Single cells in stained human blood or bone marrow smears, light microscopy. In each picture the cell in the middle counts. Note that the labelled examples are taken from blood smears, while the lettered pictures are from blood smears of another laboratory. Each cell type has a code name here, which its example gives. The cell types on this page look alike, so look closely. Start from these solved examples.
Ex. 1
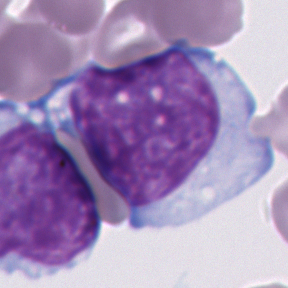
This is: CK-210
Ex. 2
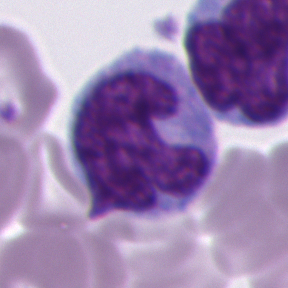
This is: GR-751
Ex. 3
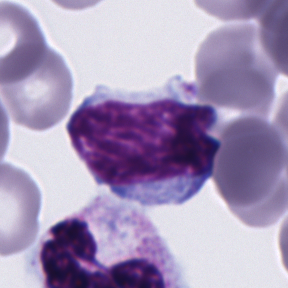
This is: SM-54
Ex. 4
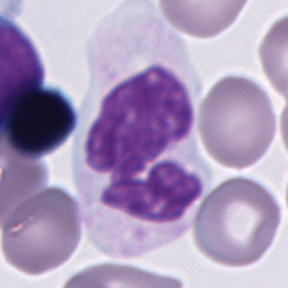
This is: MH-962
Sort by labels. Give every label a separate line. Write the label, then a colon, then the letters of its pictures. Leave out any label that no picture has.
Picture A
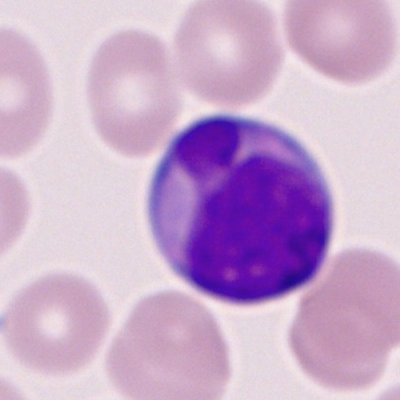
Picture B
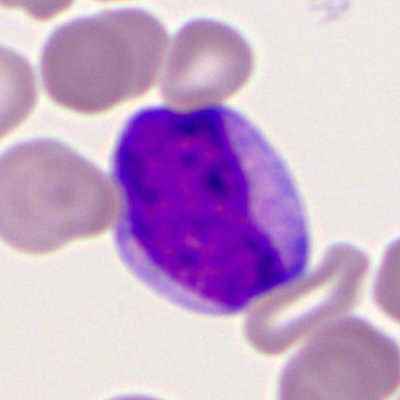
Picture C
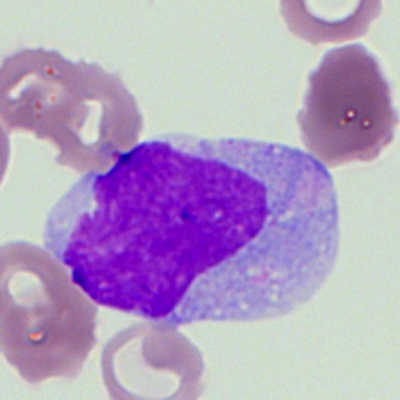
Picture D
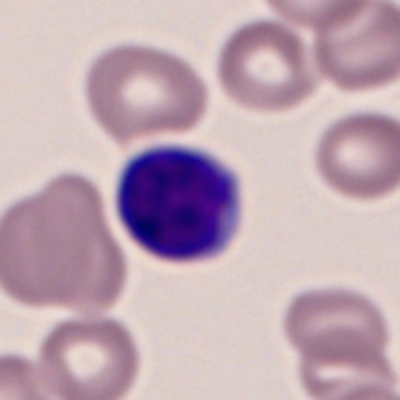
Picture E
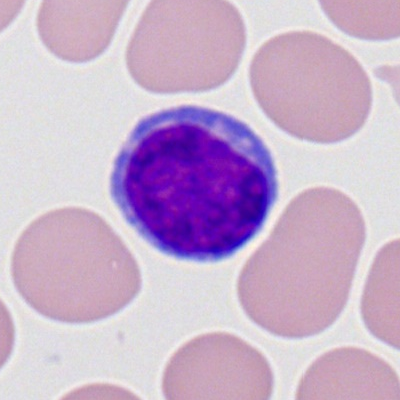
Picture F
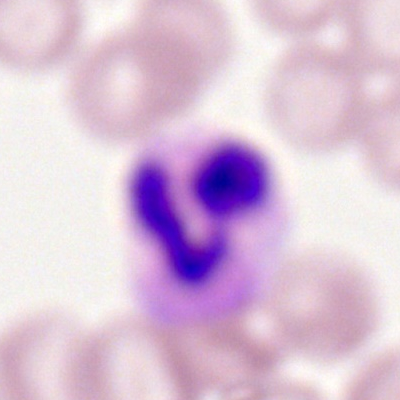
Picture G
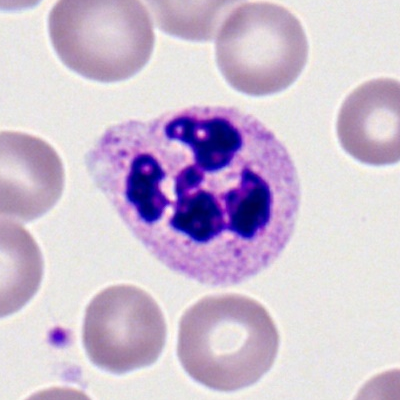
CK-210: A, B
GR-751: C
SM-54: D, E
MH-962: F, G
